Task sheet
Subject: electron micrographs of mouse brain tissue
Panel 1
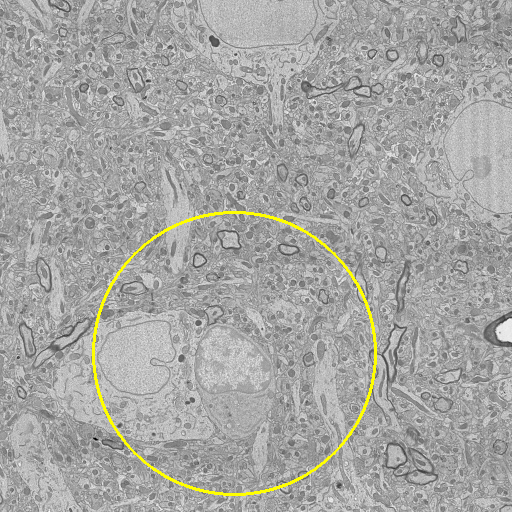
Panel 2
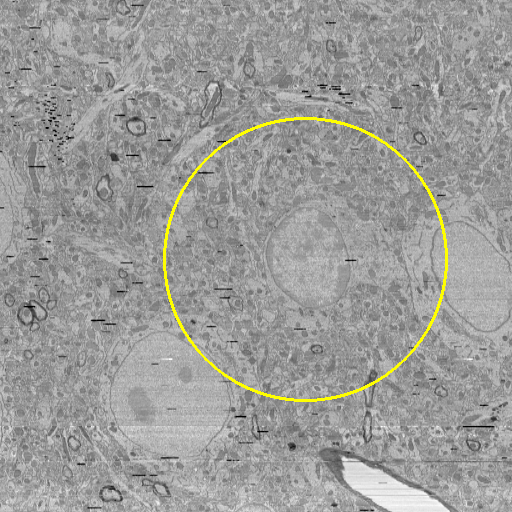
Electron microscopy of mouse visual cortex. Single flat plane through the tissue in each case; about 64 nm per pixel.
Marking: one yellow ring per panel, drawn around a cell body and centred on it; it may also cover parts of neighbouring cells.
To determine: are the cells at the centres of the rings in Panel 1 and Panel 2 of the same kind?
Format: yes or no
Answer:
yes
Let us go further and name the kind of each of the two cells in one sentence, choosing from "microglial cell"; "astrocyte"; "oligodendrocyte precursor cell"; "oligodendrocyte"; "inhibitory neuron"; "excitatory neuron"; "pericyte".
The first and the second cell are each an oligodendrocyte.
